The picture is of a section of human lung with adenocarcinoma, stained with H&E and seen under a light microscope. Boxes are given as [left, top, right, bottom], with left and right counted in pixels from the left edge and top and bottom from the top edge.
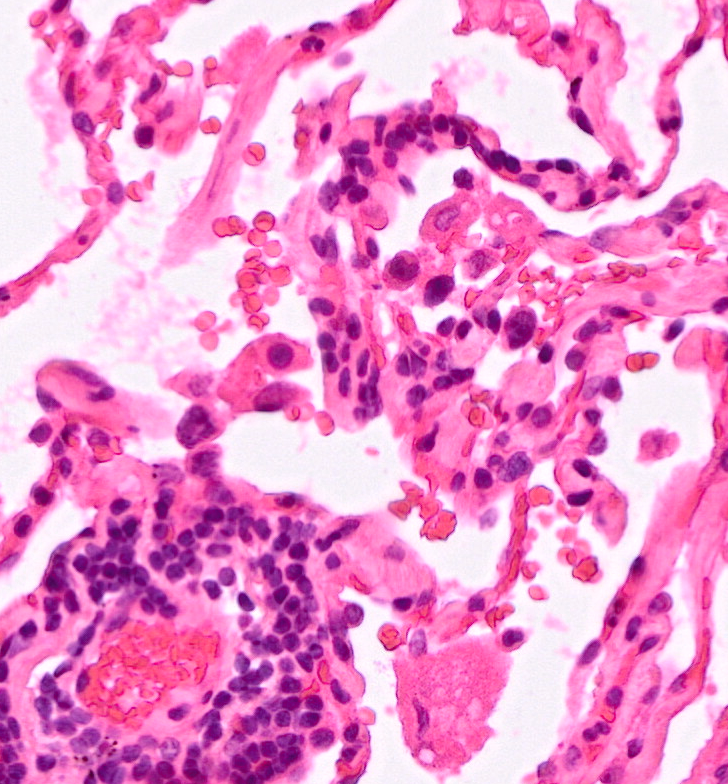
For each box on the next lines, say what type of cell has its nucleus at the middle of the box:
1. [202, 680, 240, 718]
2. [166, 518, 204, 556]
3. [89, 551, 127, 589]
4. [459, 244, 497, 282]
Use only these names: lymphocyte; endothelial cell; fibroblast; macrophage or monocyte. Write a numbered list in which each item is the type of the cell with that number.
1. lymphocyte
2. lymphocyte
3. lymphocyte
4. macrophage or monocyte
